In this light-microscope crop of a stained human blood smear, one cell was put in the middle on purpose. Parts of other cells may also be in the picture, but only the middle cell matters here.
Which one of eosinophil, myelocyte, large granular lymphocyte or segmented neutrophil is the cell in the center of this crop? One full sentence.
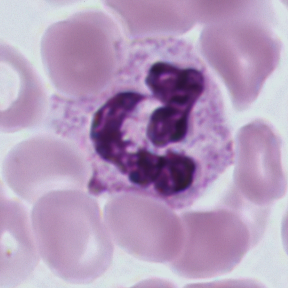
The centrally located cell in the crop is a segmented neutrophil.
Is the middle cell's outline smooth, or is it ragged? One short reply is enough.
The cell is bounded by a ragged or projection-bearing margin rather than a smooth one.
